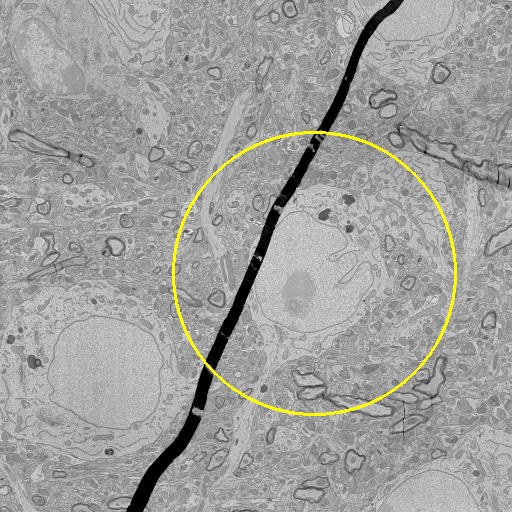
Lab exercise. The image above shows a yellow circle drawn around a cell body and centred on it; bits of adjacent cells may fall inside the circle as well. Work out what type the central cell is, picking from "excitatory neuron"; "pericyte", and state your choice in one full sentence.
In the image above, the cell at the centre of the yellow circle is an excitatory neuron.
